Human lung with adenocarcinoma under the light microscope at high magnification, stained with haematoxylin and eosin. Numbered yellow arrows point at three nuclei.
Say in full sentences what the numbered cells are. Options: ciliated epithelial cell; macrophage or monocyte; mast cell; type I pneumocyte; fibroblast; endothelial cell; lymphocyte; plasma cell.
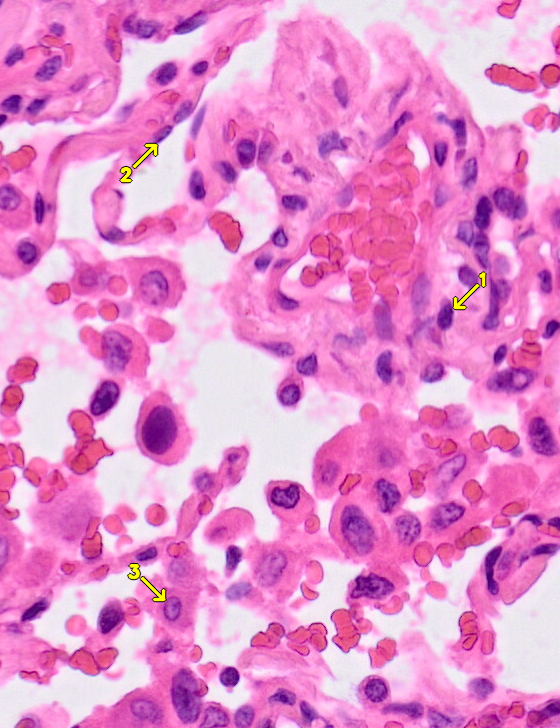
Cell 1 is a plasma cell, cell 2 is a type I pneumocyte and cell 3 is a macrophage or monocyte.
